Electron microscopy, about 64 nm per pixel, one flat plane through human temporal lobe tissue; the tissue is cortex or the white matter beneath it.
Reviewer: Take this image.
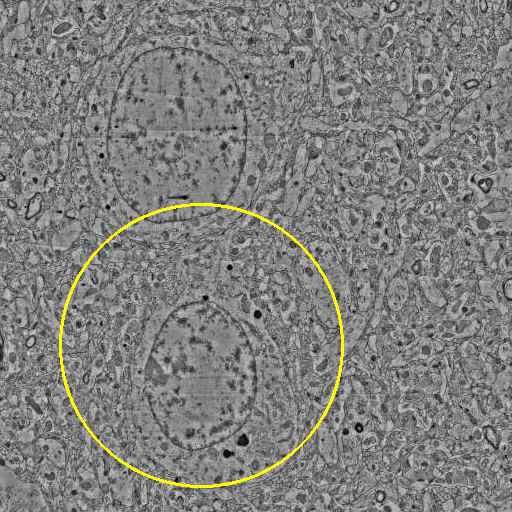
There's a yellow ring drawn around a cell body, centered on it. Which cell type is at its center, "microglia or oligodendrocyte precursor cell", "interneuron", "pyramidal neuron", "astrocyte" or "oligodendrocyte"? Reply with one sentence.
At the center of the yellow ring is a pyramidal neuron.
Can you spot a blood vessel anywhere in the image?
No, the image shows no blood vessel.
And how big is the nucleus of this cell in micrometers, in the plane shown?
Roughly 10 by 7 micrometres is the size of the nucleus in this plane.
